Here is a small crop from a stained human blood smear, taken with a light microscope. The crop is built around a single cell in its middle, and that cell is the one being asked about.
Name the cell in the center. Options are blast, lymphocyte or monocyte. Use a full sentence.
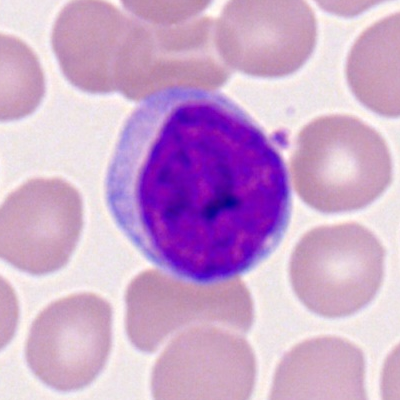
In this smear crop, the middle cell is a lymphocyte.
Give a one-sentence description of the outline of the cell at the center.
Smooth outline, no projections: that is the whole story of its edge.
